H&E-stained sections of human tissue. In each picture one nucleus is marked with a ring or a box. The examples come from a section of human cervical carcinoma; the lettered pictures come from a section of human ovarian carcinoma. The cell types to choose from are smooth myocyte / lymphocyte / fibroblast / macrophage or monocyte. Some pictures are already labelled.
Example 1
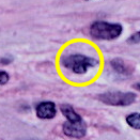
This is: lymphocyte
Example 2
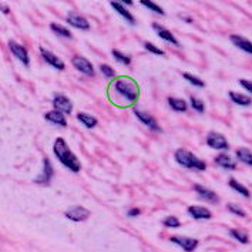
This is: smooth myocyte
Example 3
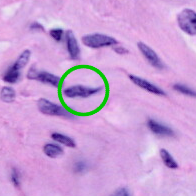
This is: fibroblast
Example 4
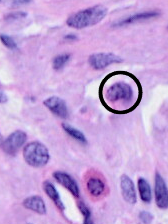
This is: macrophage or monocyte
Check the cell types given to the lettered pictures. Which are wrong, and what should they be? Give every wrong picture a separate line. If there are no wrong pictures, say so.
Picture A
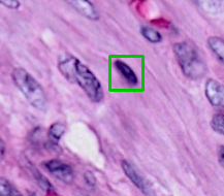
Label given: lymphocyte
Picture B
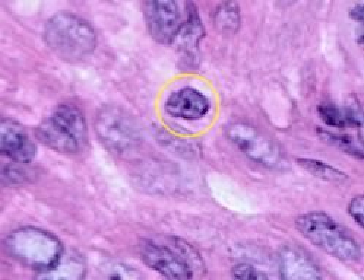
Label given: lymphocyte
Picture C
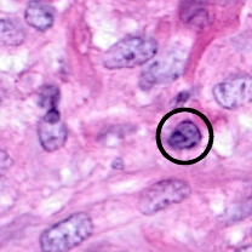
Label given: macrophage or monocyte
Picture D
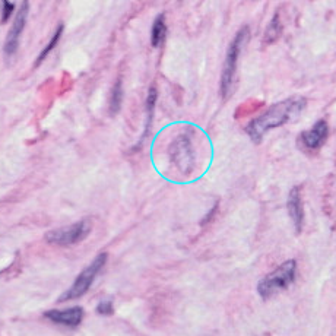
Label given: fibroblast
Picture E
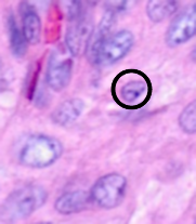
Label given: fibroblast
E: macrophage or monocyte, not fibroblast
